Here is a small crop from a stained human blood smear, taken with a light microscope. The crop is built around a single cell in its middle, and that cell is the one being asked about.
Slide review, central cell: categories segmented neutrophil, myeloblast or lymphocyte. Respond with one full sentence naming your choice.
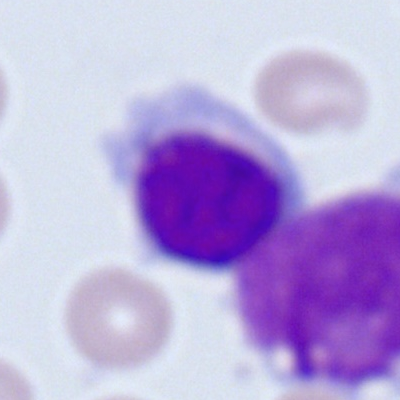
At the crop's centre, the cell is a lymphocyte.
